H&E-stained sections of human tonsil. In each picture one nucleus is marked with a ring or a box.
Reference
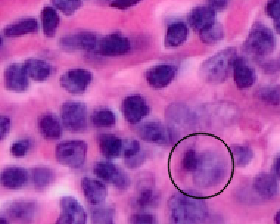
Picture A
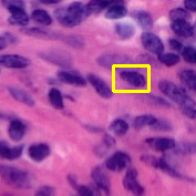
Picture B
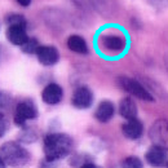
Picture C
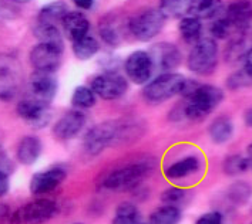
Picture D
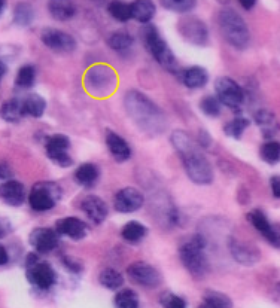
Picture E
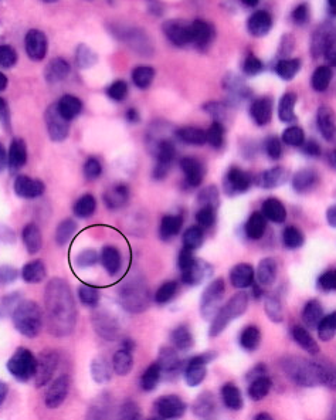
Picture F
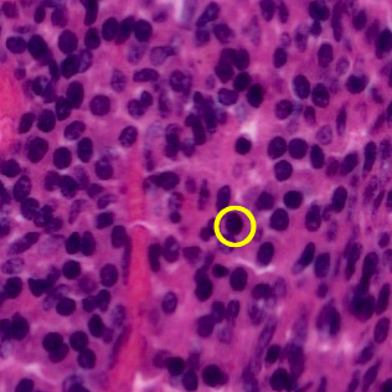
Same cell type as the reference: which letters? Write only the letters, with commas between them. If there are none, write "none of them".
A, B, C, D, E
